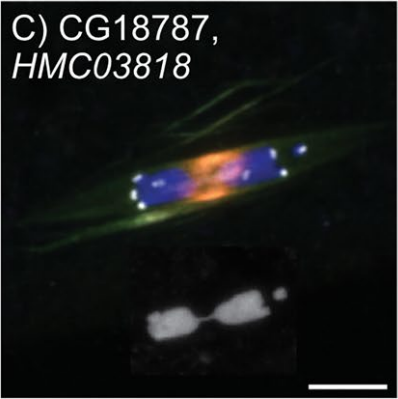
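This is an elongated meiotic spindle of an oocyte, drawn out along one axis. The chromatin in blue is split into two masses toward each end of the spindle rather than one central body. Red-orange staining fills the middle of the spindle between the two chromatin masses. Bright white dots lie along the outer edges of both chromatin masses. The grayscale inset shows the two chromatin masses joined by a thin thread.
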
